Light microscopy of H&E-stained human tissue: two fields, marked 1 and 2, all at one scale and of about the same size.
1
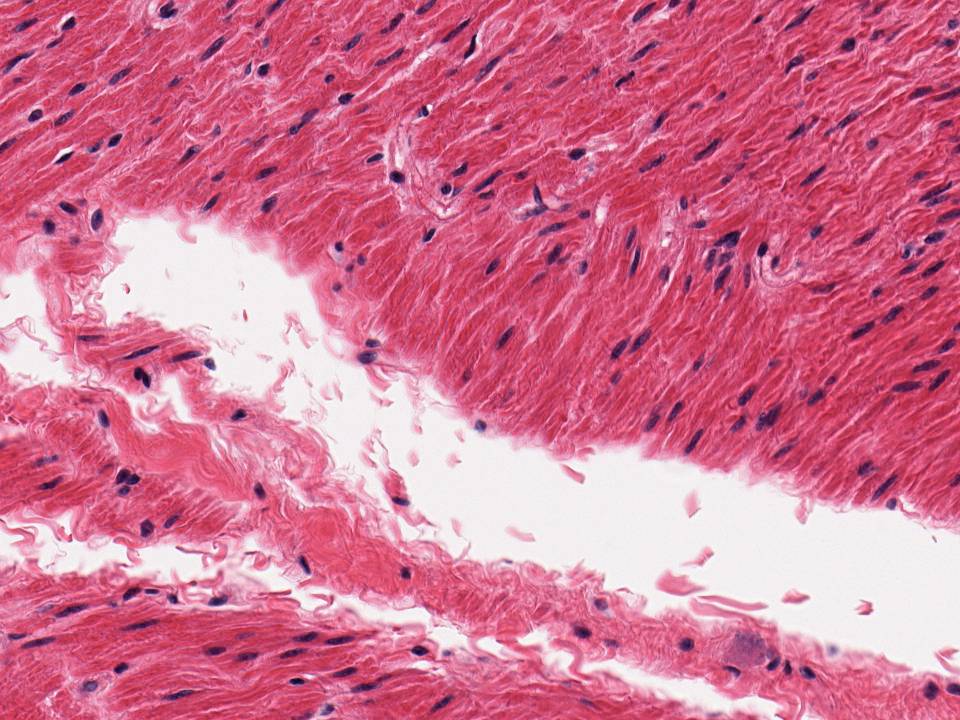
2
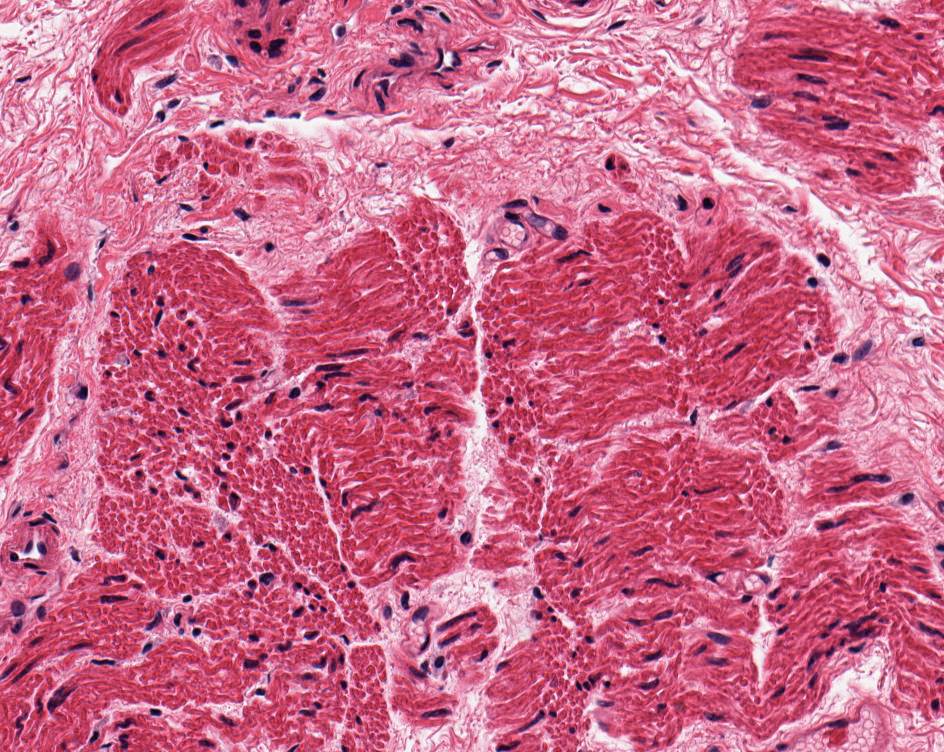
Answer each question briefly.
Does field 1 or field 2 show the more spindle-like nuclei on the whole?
1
